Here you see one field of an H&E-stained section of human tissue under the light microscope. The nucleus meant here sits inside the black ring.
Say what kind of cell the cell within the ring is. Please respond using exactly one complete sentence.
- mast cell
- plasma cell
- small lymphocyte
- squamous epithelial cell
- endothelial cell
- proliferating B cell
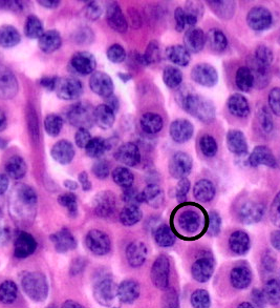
Within this tissue, the cell within the ring is a plasma cell.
